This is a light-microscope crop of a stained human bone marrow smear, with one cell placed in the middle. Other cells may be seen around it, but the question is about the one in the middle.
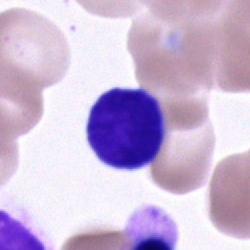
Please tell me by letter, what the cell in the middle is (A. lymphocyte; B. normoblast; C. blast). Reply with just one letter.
A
